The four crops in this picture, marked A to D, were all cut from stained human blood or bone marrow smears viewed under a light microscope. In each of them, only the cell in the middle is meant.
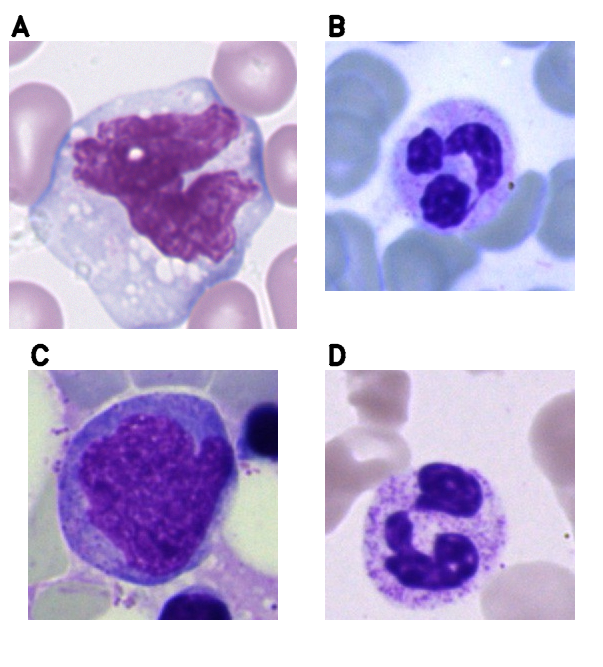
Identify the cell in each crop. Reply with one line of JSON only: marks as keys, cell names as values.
{"A": "monocyte", "B": "neutrophil", "C": "monocyte", "D": "neutrophil"}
